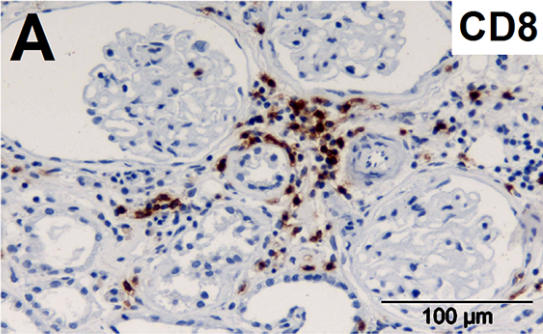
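This kidney section shows glomeruli with their capillary tufts inside Bowman's spaces, surrounded by tubules with blue-counterstained nuclei. Between the glomeruli and tubules lies a dense interstitial infiltrate of small round cells, many of them stained brown. The brown cells are small with little cytoplasm and cluster around a small vessel and along the interstitium.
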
